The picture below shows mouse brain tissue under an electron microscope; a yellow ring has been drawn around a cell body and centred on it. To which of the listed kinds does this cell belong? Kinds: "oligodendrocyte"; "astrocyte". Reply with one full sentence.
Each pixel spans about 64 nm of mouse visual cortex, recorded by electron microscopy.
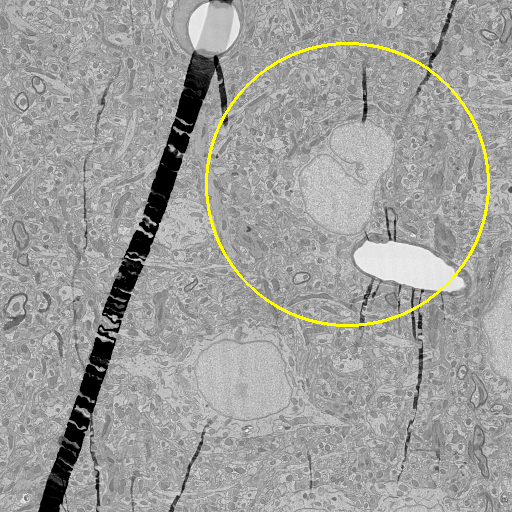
It is an astrocyte that the yellow ring in the picture is centred on.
